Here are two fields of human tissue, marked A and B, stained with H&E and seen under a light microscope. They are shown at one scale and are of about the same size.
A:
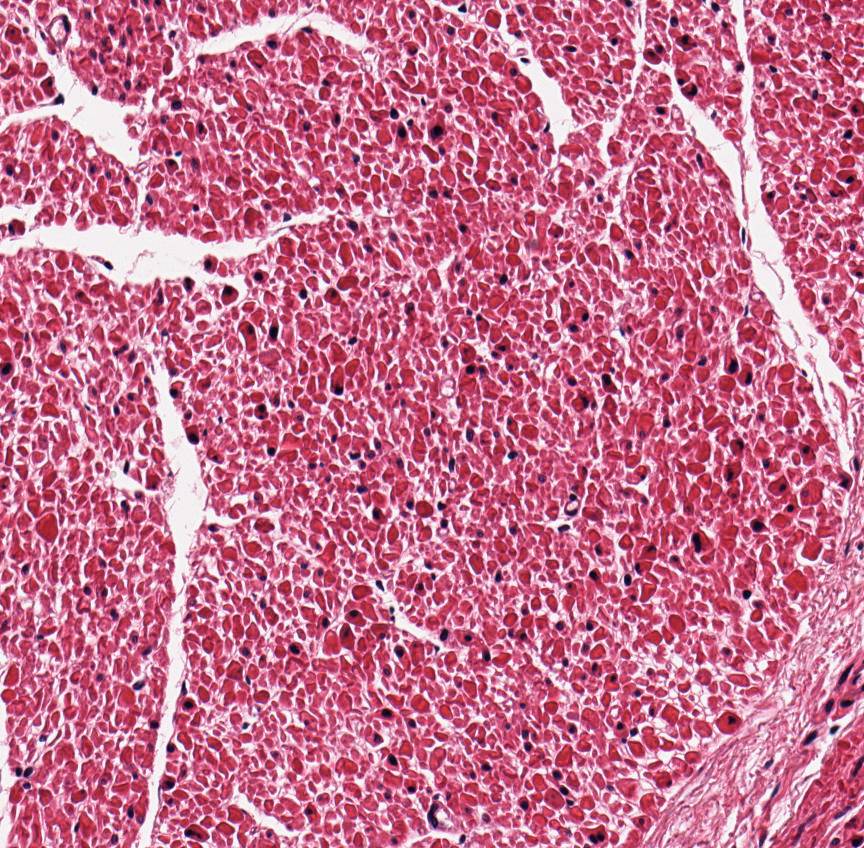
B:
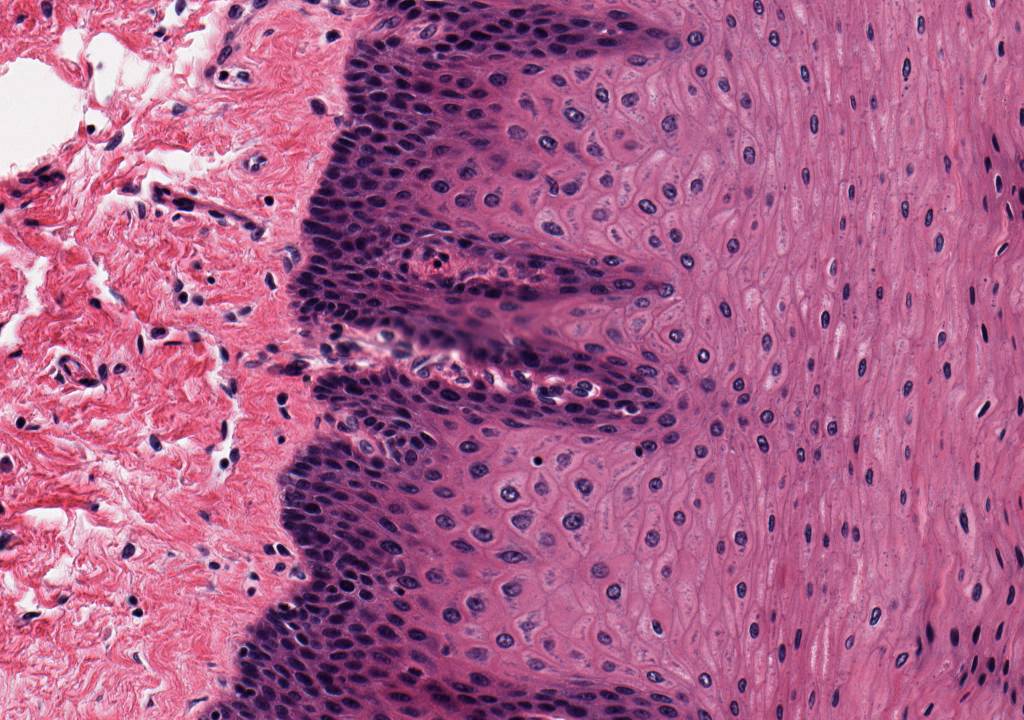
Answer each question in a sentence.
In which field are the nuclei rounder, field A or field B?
It is field A whose nuclei are the rounder.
